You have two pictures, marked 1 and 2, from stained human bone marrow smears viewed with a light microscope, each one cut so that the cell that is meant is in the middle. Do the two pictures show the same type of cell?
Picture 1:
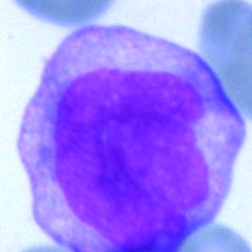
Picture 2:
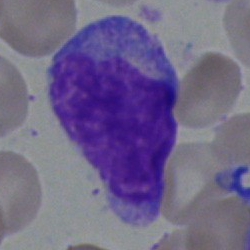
yes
